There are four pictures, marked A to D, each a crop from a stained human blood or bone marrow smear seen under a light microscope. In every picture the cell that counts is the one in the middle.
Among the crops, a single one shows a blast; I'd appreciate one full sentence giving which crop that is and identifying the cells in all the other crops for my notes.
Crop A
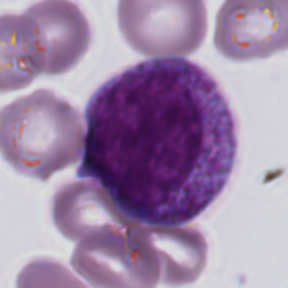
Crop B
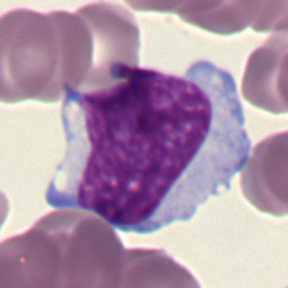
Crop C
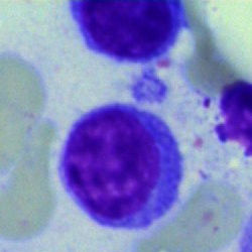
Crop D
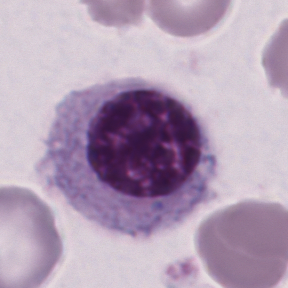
With respect to crop B, the cell is a blast, whereas crop A is a myelocyte, crop C is a lymphocyte and crop D is a plasma cell.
